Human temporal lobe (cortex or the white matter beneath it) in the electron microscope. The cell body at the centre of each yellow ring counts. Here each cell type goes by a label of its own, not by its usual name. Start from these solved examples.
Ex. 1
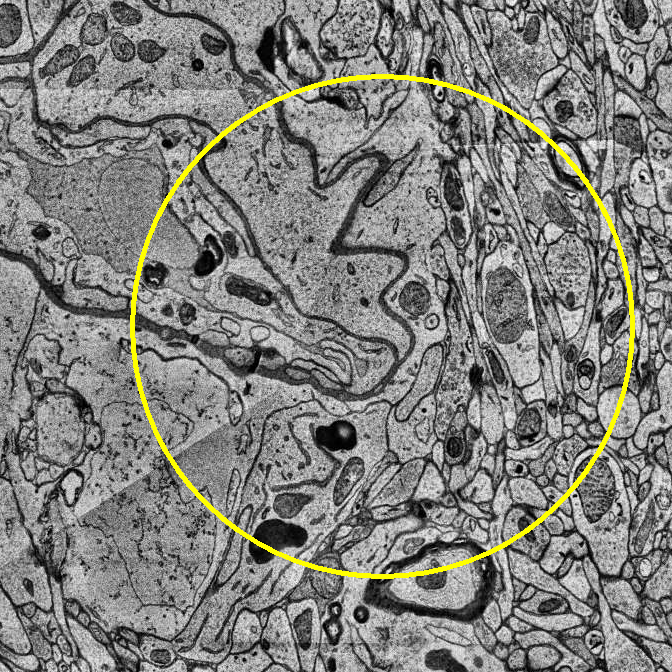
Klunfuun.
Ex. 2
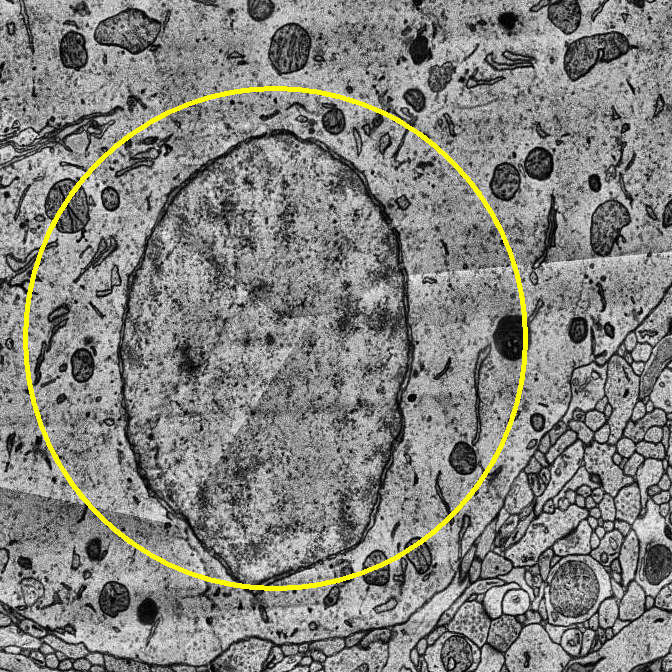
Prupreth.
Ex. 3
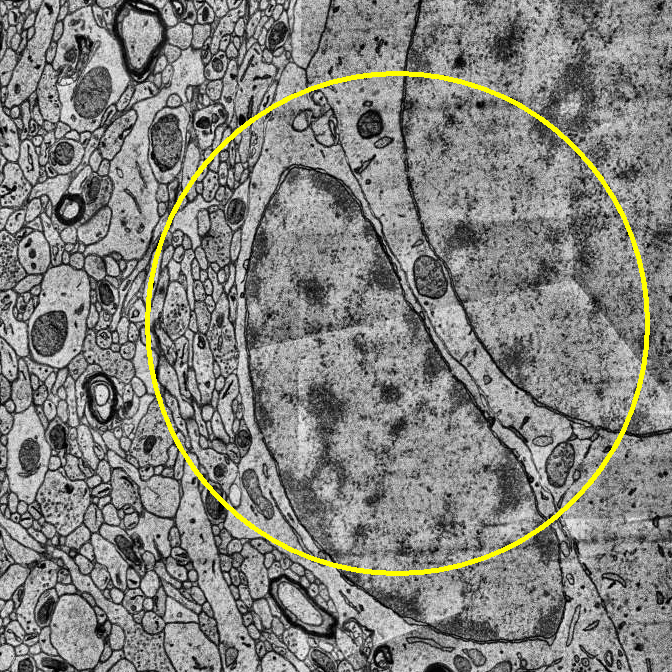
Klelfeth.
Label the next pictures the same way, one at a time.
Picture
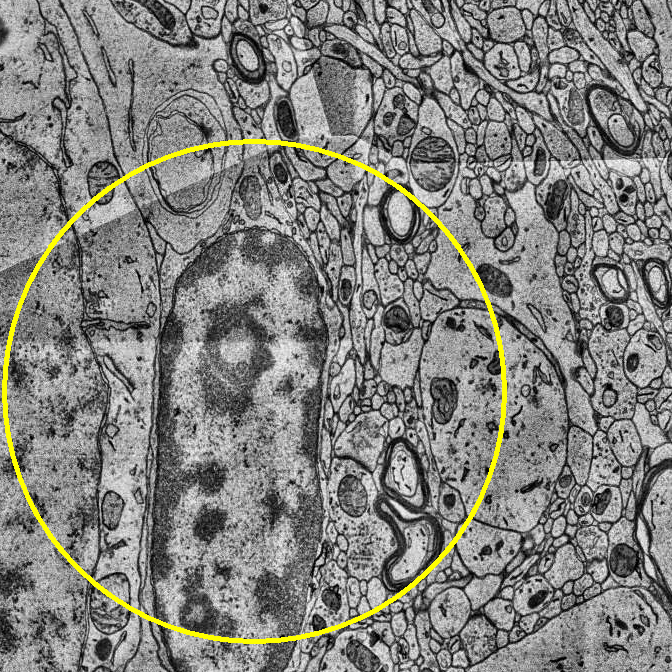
Klelfeth.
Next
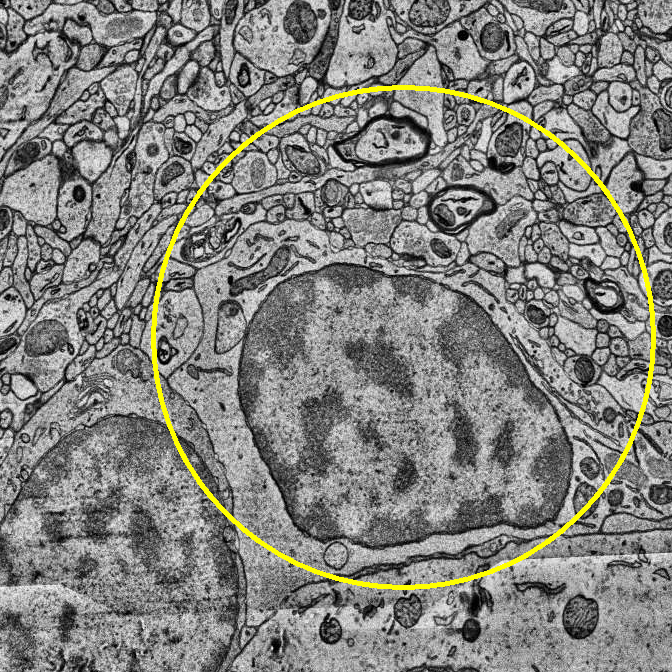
Klelfeth.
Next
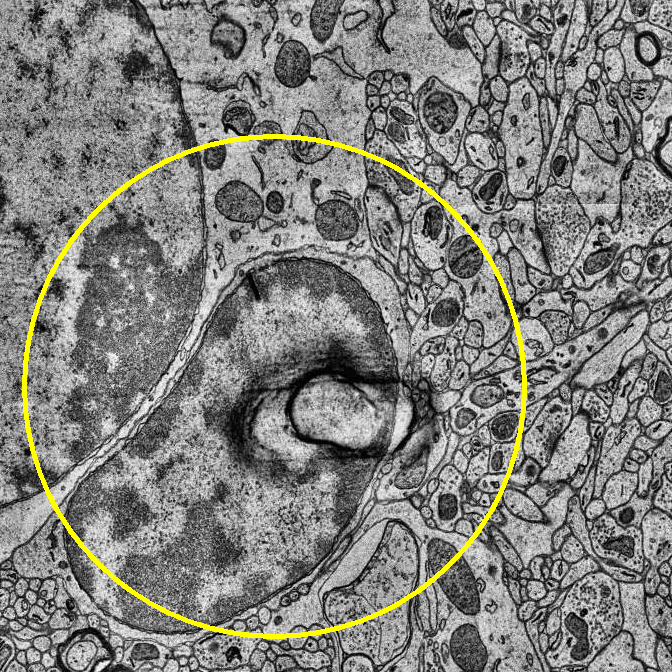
Klelfeth.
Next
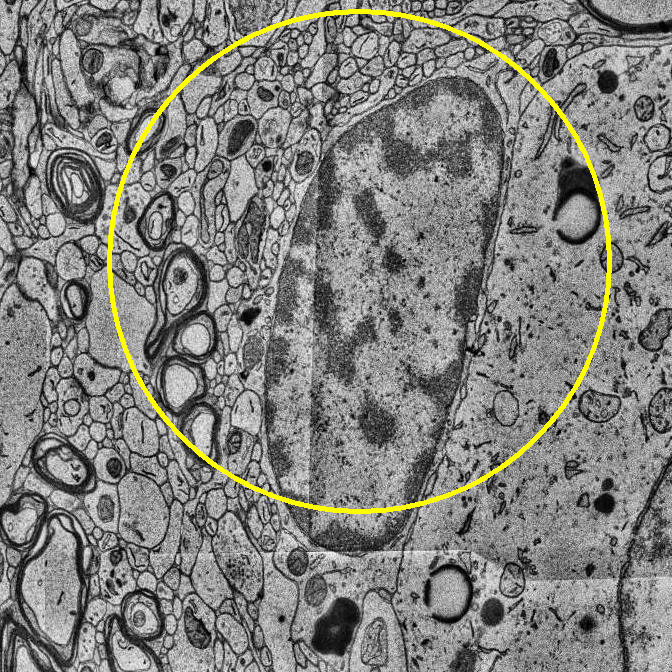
Klelfeth.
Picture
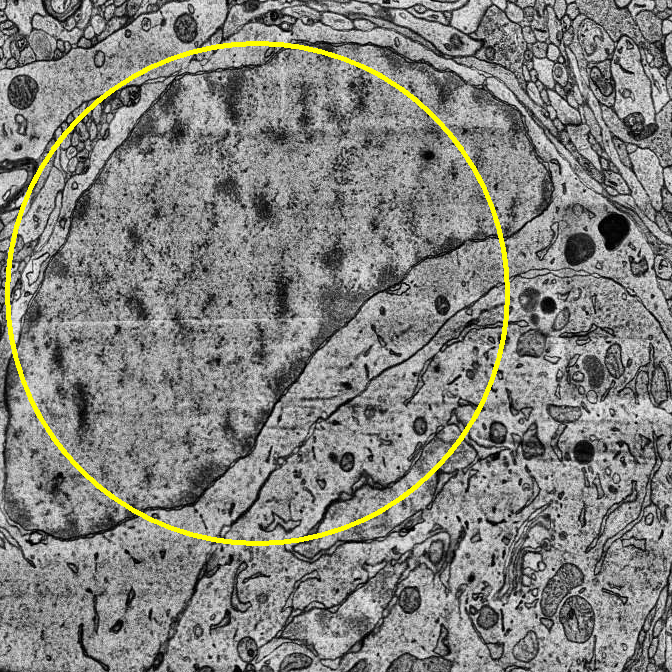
Klelfeth.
